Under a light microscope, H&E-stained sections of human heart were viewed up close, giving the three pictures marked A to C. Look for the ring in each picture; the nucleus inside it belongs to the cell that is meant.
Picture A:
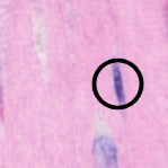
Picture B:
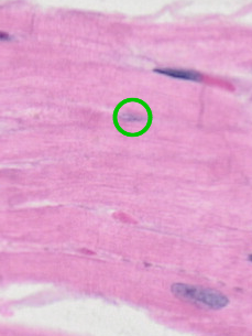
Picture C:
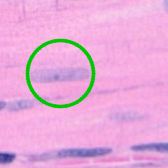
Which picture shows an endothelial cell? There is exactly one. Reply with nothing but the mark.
A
